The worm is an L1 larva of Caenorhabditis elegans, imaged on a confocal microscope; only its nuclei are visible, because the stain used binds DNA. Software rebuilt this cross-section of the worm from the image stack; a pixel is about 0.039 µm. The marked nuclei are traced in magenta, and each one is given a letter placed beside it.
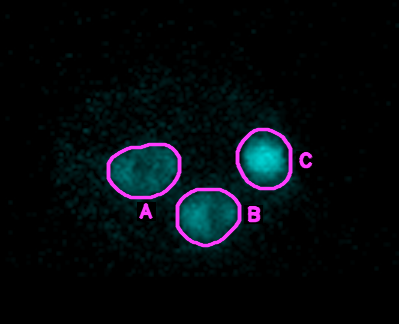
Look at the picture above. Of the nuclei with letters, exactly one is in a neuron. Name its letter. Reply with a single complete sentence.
C is from a neuron.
